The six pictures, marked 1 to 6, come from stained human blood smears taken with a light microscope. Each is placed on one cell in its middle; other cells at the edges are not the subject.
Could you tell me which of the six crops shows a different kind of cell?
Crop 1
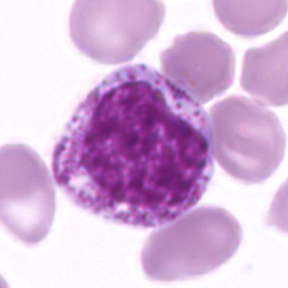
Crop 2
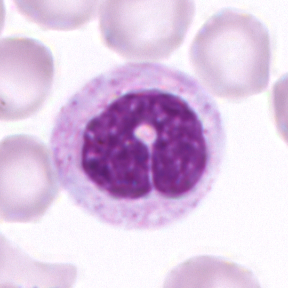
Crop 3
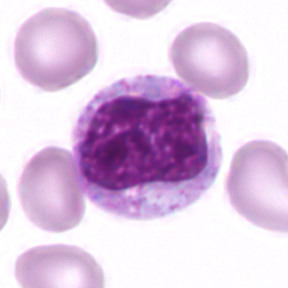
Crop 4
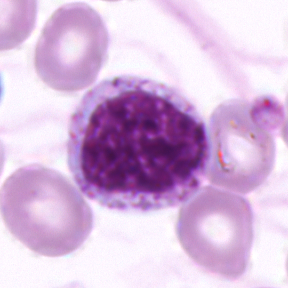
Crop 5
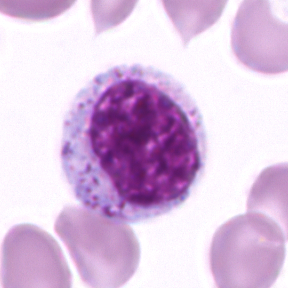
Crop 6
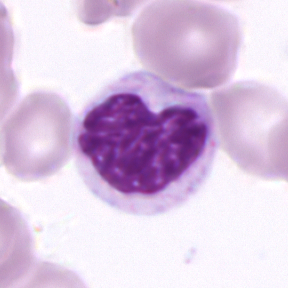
2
